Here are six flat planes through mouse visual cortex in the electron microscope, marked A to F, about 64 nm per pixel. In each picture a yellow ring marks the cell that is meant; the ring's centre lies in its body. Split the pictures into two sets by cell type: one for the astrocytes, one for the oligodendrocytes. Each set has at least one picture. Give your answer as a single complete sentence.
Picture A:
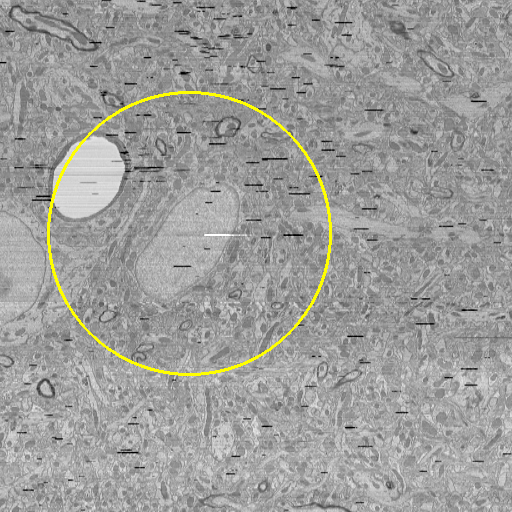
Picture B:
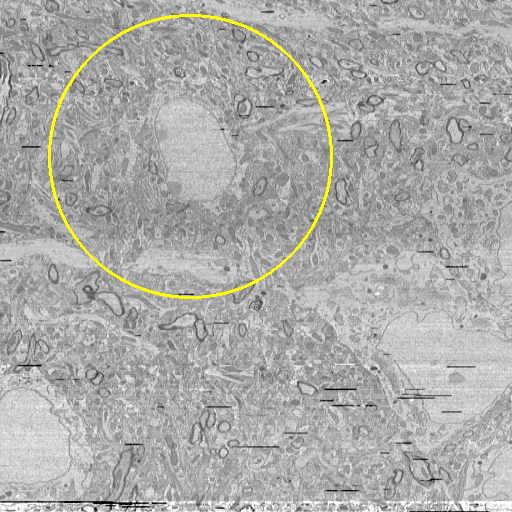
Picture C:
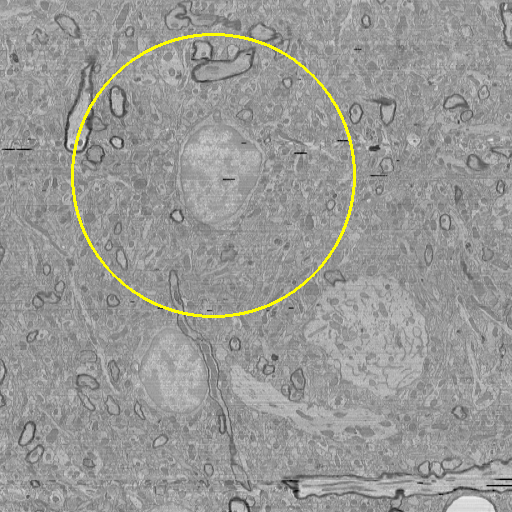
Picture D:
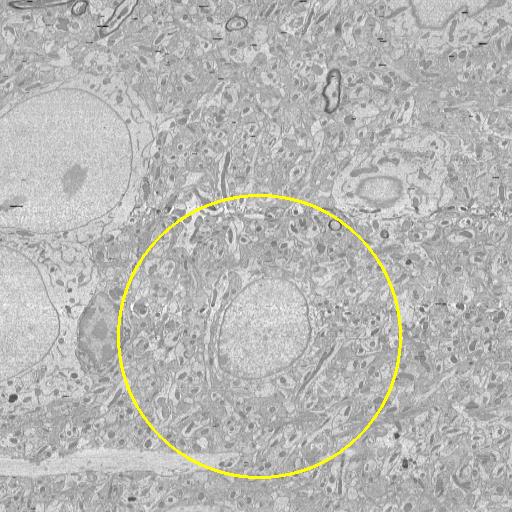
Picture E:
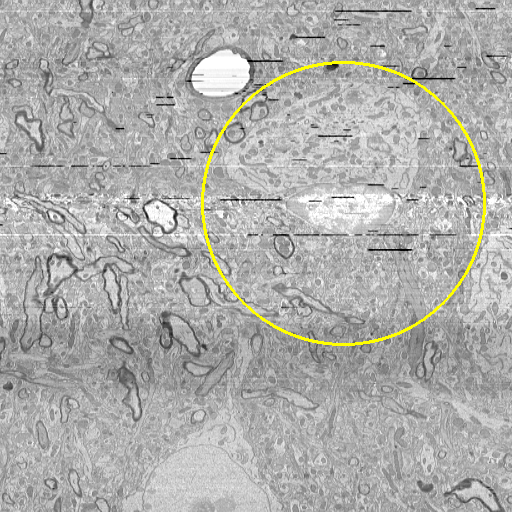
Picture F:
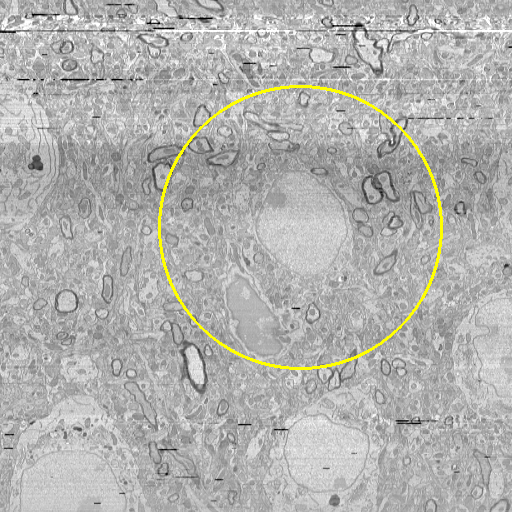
Pictures A, B, D and F show astrocytes, while pictures C and E show oligodendrocytes.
